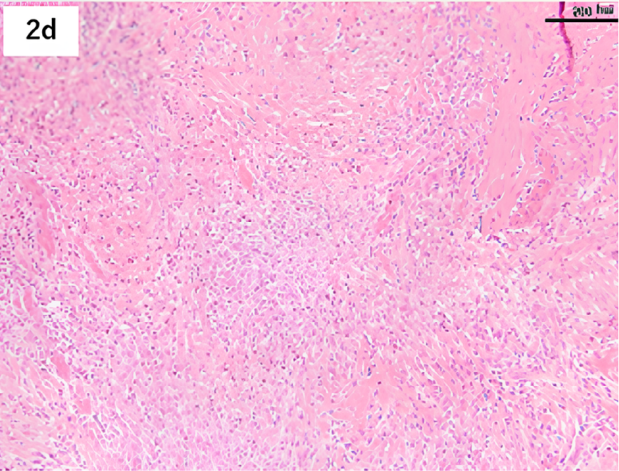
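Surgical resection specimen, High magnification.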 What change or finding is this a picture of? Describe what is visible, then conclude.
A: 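Many small dark round nuclei are scattered densely through the field. Pink fibrous bundles run between the nuclei. No gland structures are present.
Answer: massive lymphocytic infiltration and fibrosis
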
